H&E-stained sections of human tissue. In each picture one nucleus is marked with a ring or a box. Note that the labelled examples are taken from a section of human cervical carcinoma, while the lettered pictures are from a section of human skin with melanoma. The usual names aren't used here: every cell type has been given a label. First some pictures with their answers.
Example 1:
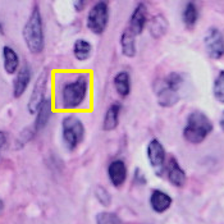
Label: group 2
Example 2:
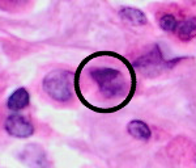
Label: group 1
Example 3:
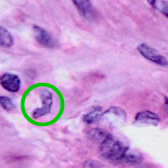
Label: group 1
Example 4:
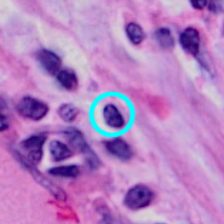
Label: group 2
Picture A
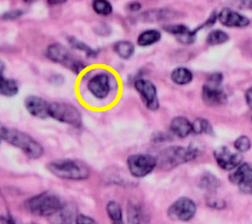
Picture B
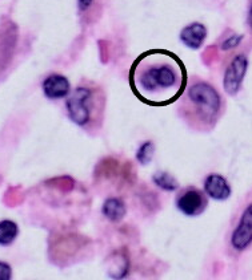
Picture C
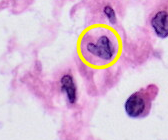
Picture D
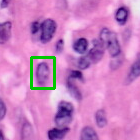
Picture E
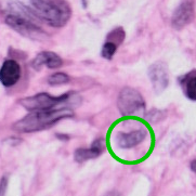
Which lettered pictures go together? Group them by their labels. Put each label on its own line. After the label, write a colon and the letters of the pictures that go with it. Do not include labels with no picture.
group 2: A
group 1: B, C, D, E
